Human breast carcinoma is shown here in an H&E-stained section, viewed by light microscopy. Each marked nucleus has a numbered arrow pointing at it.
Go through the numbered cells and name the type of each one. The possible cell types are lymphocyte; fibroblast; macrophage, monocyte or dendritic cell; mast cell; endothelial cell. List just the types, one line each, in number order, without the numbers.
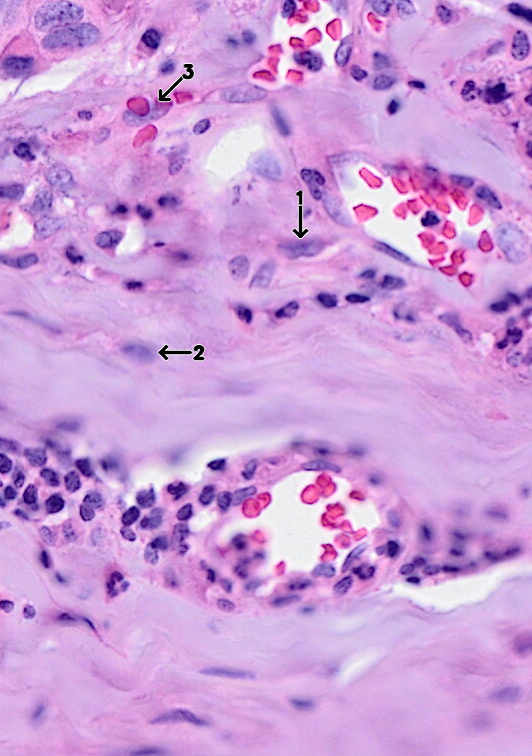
endothelial cell
fibroblast
endothelial cell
